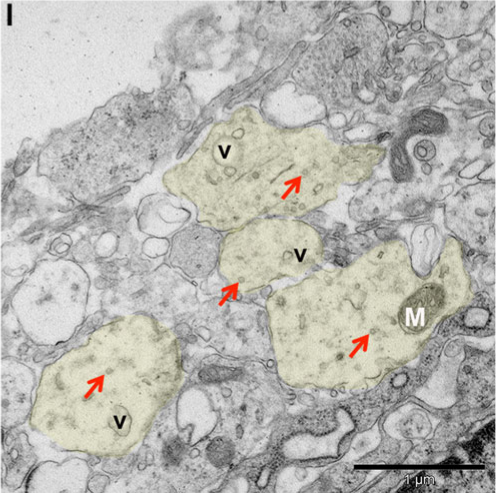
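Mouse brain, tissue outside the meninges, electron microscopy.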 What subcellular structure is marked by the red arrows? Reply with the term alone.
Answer: Microtubule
